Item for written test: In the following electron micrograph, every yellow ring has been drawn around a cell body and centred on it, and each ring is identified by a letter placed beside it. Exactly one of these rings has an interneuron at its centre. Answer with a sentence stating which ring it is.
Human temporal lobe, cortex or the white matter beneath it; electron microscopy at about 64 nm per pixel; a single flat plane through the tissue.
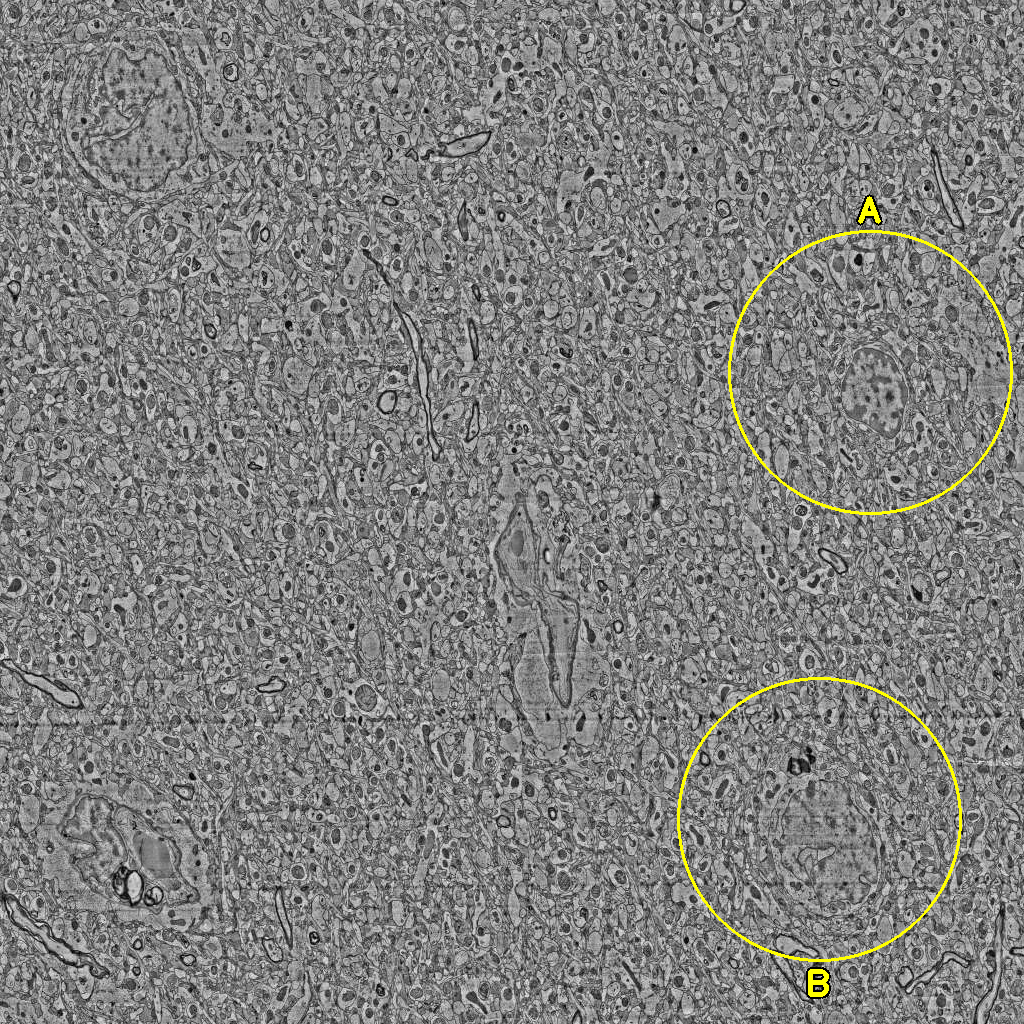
It is ring B.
